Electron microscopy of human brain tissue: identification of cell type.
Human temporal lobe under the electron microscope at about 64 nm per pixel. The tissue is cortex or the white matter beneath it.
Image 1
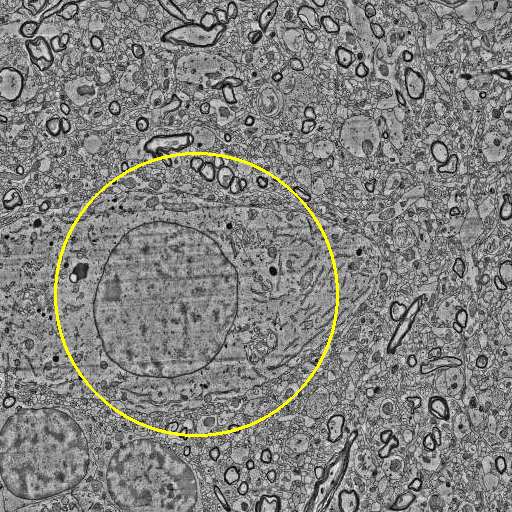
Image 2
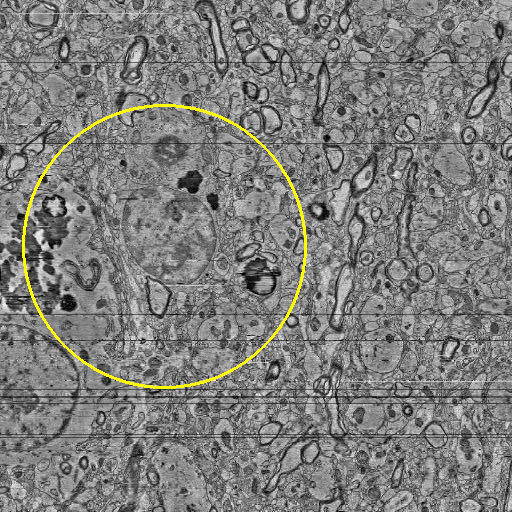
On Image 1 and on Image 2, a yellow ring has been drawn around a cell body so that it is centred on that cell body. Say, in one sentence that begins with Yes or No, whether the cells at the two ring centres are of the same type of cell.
No, the two cells are two separate types of cell.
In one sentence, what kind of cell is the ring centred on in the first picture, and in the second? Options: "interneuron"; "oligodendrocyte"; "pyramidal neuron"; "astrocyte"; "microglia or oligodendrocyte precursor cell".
The cell at the centre of the second ring is an oligodendrocyte; the first ring's cell is a pyramidal neuron.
